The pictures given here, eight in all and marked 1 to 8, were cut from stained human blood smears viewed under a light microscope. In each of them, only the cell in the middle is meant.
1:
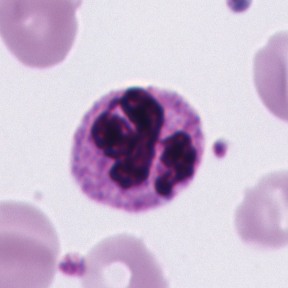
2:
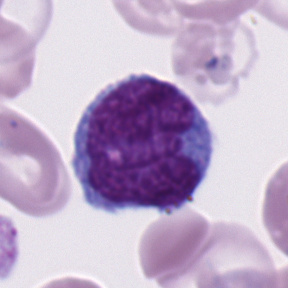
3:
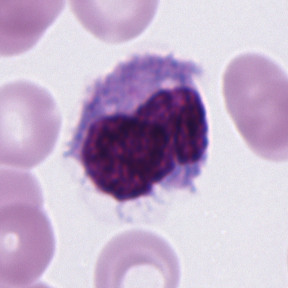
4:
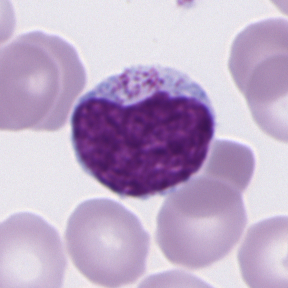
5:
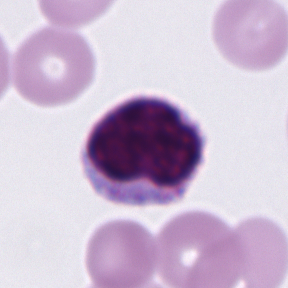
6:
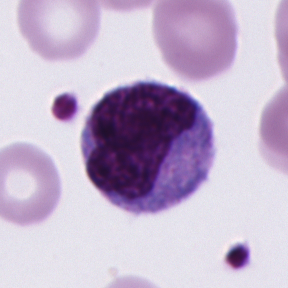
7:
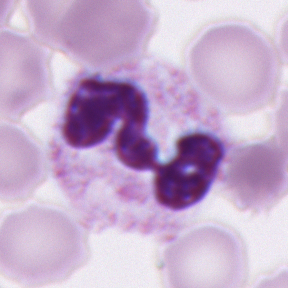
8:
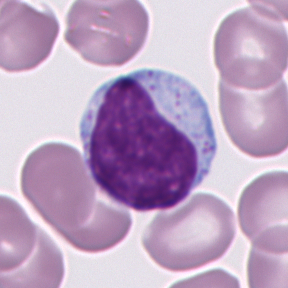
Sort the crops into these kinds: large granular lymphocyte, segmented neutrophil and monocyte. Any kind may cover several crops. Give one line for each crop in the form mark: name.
1: segmented neutrophil
2: monocyte
3: monocyte
4: large granular lymphocyte
5: large granular lymphocyte
6: monocyte
7: segmented neutrophil
8: large granular lymphocyte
